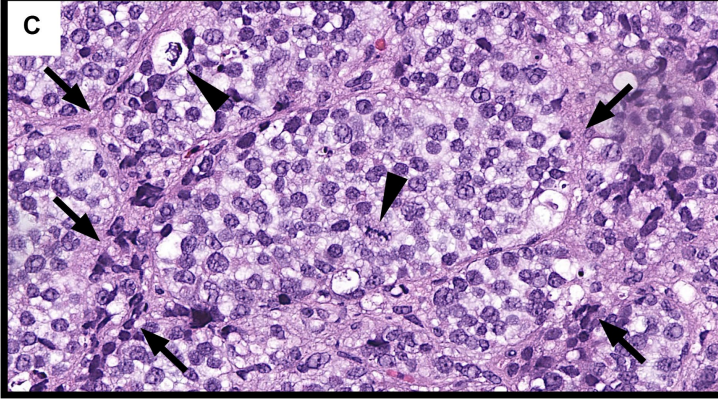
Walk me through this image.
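Packets of round to oval neoplastic cells with indistinct borders are separated by thin pink fibrovascular strands. Nuclei are round to oval with finely stippled chromatin and visible nucleoli; the cytoplasm is pale and vacuolated. A mitotic figure with condensed chromatin lies near the centre, and scattered small, dark, shrunken cells sit along the strands.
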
